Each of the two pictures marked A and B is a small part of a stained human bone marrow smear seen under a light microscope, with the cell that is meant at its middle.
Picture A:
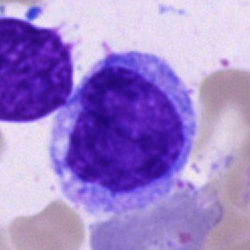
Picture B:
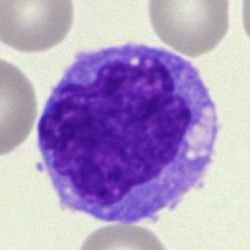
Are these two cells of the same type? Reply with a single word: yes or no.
yes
